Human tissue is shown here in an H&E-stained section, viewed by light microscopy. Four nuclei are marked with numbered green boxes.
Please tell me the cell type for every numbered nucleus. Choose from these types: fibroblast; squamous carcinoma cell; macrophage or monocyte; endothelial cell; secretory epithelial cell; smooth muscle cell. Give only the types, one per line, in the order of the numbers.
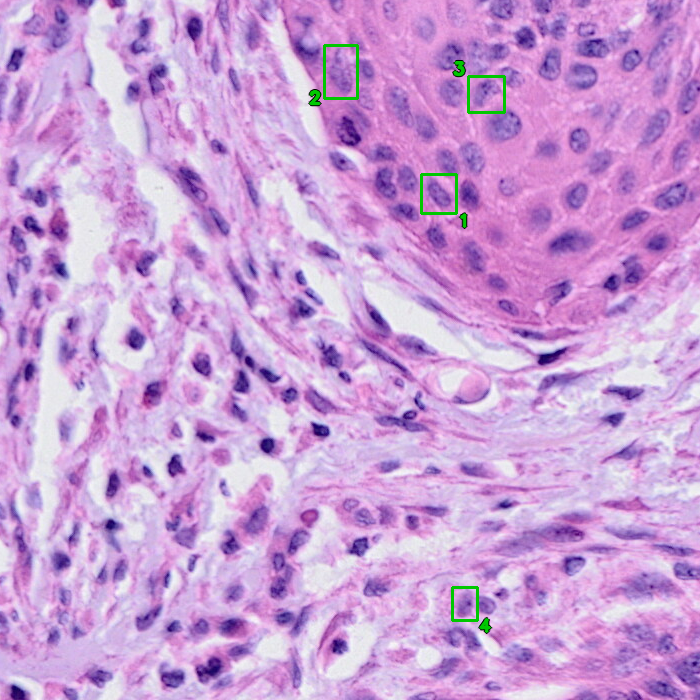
squamous carcinoma cell
squamous carcinoma cell
squamous carcinoma cell
fibroblast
